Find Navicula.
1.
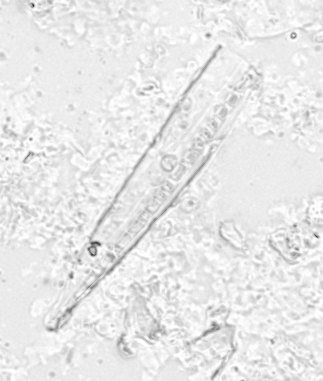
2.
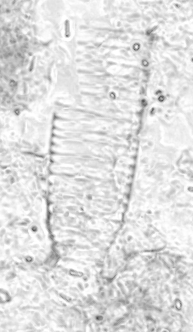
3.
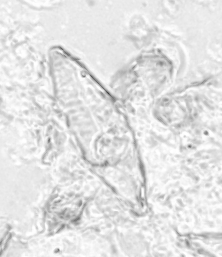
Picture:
3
